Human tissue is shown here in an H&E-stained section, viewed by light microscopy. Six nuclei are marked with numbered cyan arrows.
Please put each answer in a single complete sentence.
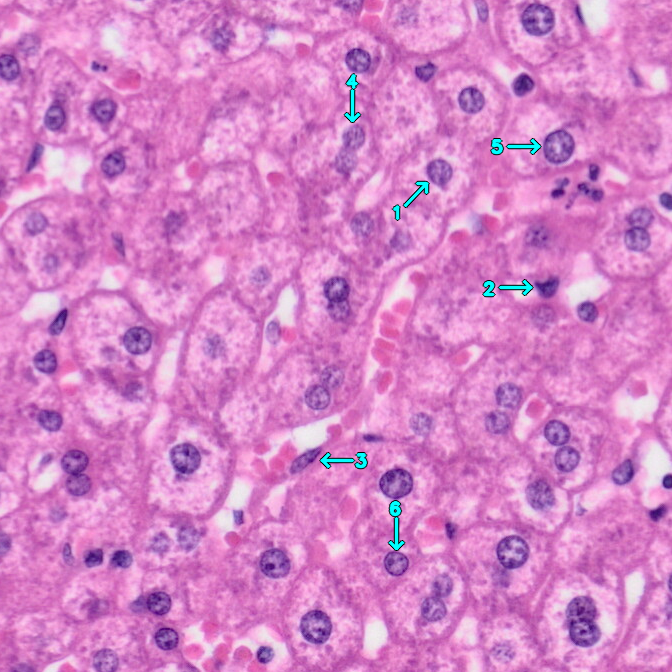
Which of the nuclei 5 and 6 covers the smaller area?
Nucleus 6 covers less area, with nucleus 5 about 1.5 times as large.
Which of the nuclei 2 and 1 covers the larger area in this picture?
At about 1.5 times the area of nucleus 2, nucleus 1 is the larger of the two.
